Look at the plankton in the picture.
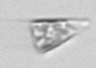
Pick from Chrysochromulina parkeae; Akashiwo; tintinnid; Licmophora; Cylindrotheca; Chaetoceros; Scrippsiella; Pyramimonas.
Licmophora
